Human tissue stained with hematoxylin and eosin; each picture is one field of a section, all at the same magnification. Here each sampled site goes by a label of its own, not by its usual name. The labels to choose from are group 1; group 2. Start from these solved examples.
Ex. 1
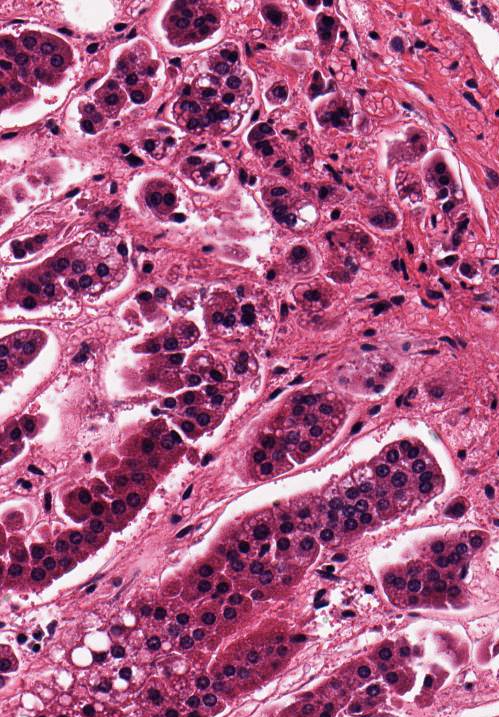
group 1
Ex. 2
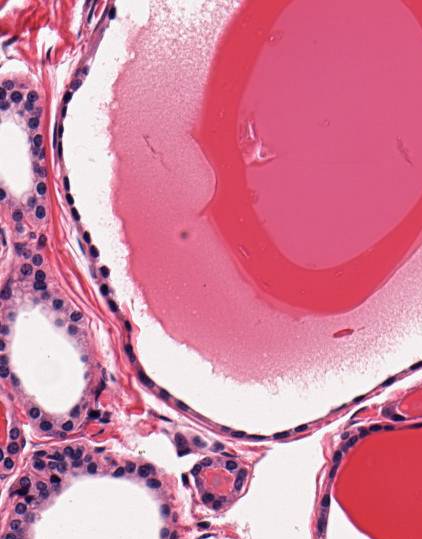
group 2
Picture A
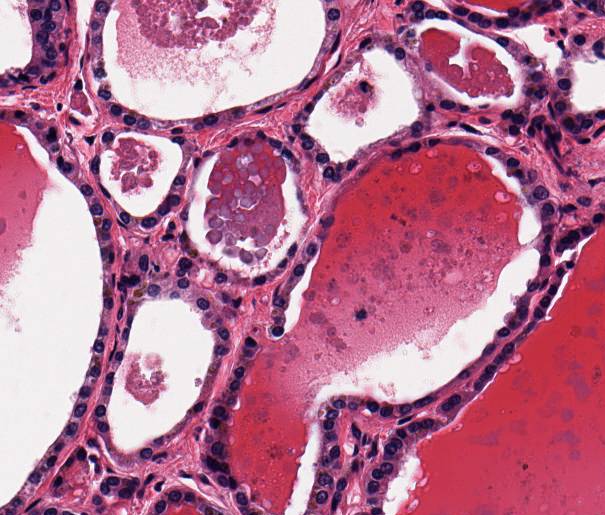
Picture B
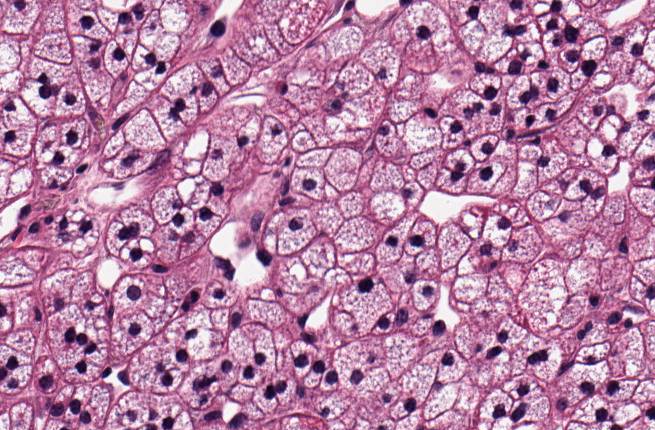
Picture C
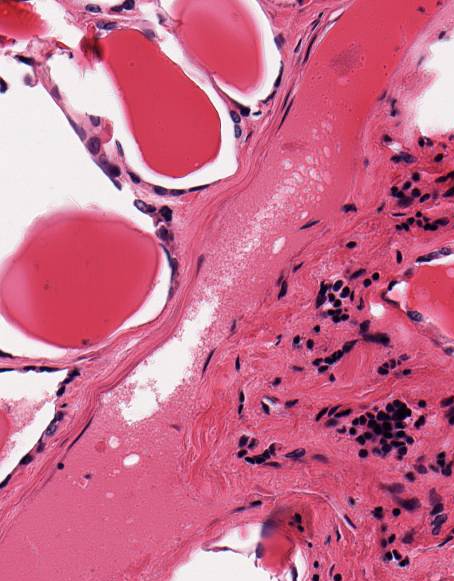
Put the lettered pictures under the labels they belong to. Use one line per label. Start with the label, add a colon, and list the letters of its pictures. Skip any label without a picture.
group 1: B
group 2: A, C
